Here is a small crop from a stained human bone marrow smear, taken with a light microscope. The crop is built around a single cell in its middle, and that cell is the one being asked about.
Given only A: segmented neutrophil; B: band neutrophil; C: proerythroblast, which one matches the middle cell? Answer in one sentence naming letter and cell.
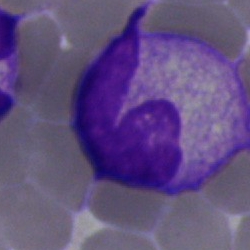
The cell centred in the crop is a band neutrophil, and the correct option is thus B.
